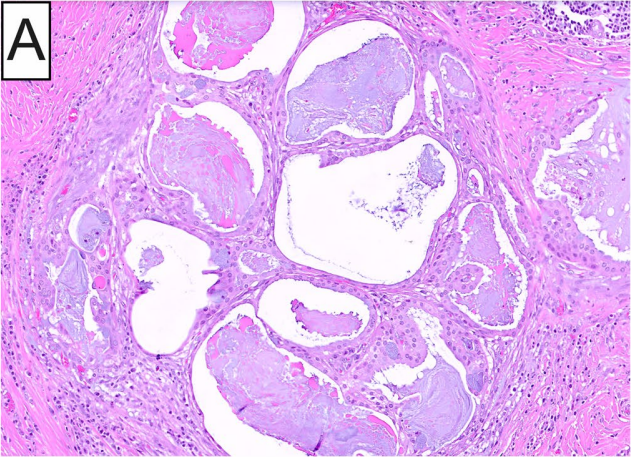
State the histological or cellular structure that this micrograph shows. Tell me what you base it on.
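Many small rounded cyst-like spaces lie clustered together in fibrous stroma. Most spaces contain pale pink to purple amorphous material. On this evidence: microcystic spaces.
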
